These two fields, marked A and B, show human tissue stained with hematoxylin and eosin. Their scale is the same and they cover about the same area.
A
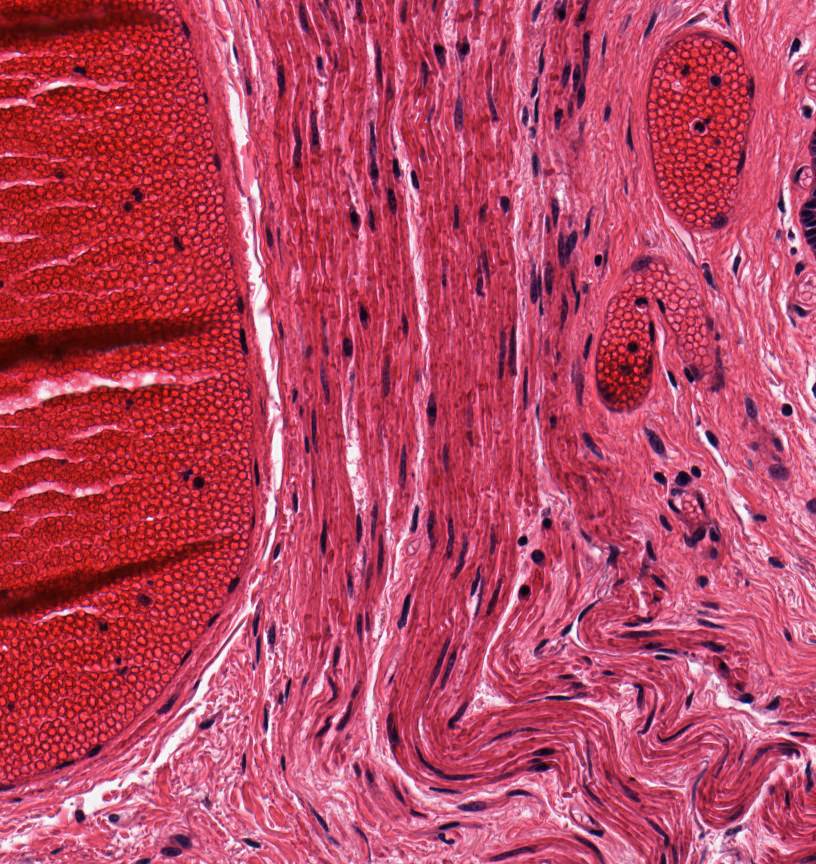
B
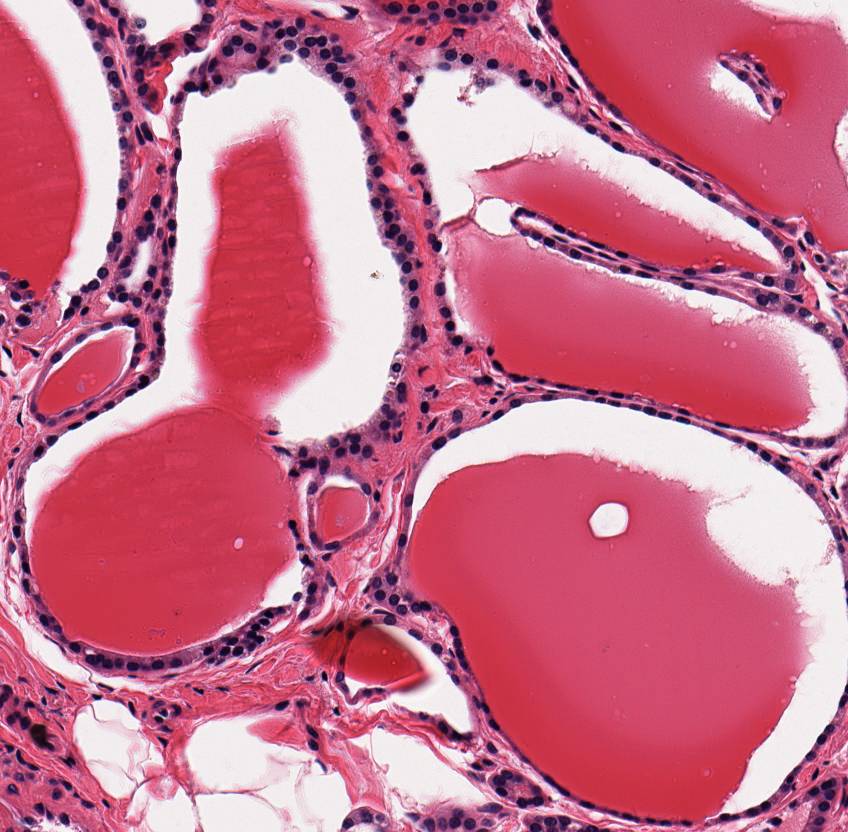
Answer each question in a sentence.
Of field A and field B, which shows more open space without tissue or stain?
Field B has more white space.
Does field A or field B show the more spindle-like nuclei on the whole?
Longer, more slender nuclei lie in field A.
